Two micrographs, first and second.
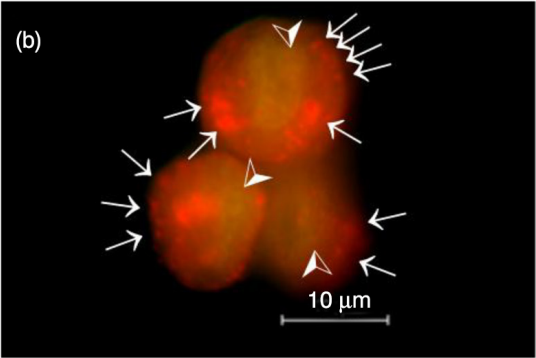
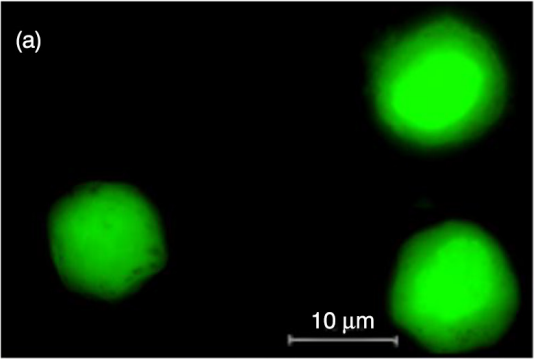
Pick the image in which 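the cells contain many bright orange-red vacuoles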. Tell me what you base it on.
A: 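The first image. First image: cells are orange overall with many bright red-orange spots near their edges.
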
